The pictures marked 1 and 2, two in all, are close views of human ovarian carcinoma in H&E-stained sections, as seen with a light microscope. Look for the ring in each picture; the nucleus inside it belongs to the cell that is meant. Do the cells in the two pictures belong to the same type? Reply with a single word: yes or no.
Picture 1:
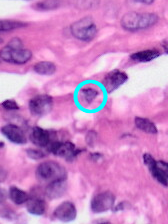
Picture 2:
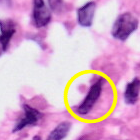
yes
